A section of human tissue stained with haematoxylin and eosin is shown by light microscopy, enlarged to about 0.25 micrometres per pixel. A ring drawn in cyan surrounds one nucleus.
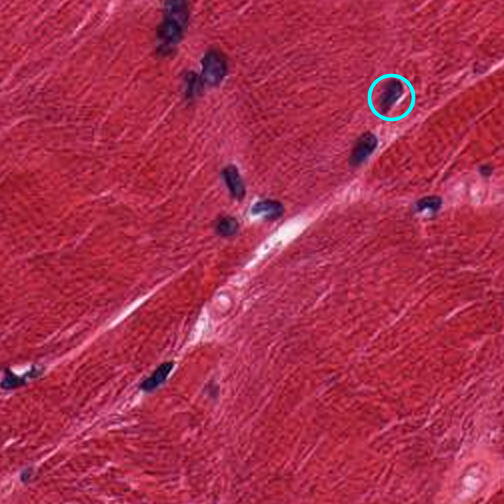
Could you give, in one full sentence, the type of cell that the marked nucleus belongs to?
The nucleus marked in this picture belongs to a skeletal muscle fibre.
